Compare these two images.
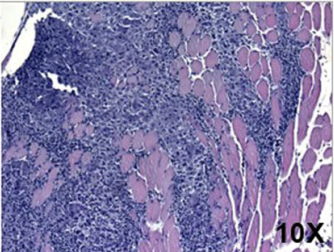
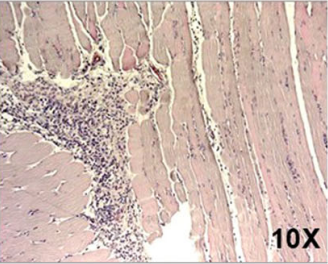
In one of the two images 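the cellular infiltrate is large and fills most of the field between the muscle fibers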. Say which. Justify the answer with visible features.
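First image: dense sheets of dark nuclei cover most of the field, with only scattered muscle fibers. Second image: a single small cluster of dark nuclei lies between otherwise orderly muscle fibers. On this evidence: the first image.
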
